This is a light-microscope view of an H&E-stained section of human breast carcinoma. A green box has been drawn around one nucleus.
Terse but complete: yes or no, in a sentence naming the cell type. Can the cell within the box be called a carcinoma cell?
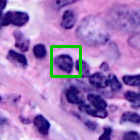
No, on this one the cell within the box is a lymphocyte, not a carcinoma cell.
